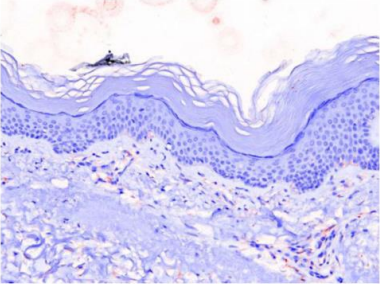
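This is skin with a stratified squamous epidermis resting on dermis. The epidermis is covered by a thick, wavy cornified layer of compact, lamellated sheets. Below it the keratinocyte layers have blue nuclei, with little red-brown staining to be seen in them. The dermis contains fibrous connective tissue with scattered elongated cells, a few of which show faint red tones.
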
